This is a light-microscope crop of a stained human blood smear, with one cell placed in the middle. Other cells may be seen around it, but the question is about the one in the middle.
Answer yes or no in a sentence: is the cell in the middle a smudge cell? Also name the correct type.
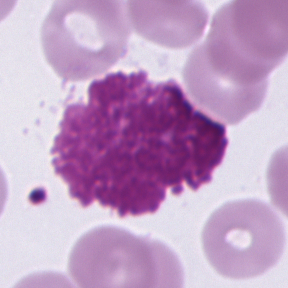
Yes, the middle cell is properly termed a smudge cell.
